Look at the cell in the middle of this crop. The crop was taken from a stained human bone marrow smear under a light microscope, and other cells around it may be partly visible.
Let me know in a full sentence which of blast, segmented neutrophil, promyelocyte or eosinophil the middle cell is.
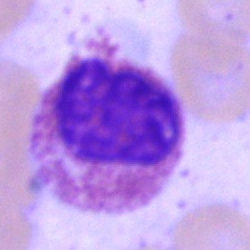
The cell at the middle of the frame should be recorded as an eosinophil.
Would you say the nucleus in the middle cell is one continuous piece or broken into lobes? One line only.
What stands out is a nucleus forming one compact round, oval or kidney-shaped mass.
